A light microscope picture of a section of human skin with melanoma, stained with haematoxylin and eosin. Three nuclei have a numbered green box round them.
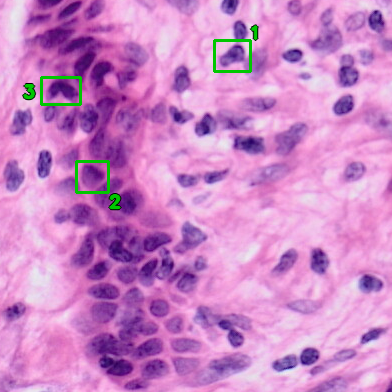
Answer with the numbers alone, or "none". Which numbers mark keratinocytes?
2, 3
